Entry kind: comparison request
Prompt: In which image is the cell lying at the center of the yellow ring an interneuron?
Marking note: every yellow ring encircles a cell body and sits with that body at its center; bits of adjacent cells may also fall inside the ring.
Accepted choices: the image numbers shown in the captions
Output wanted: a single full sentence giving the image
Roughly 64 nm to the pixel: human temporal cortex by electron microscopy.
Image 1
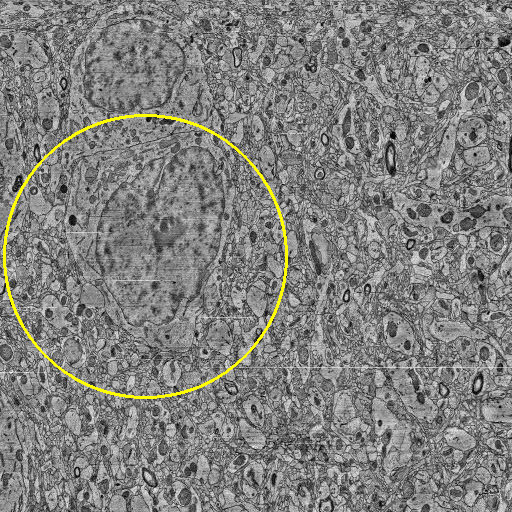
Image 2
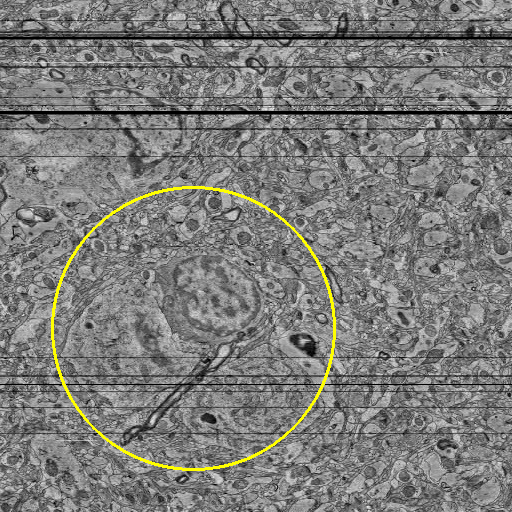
In image 1, the ringed cell at the center matches the prompt.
